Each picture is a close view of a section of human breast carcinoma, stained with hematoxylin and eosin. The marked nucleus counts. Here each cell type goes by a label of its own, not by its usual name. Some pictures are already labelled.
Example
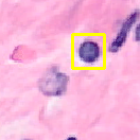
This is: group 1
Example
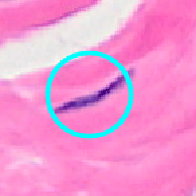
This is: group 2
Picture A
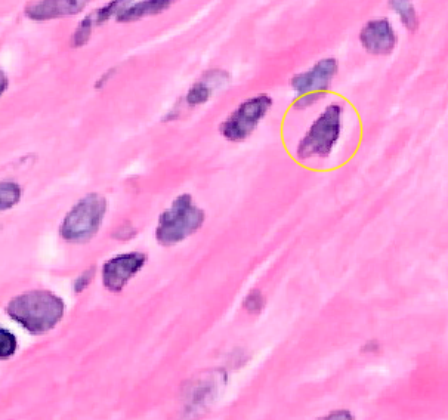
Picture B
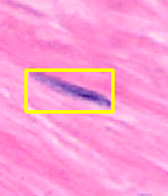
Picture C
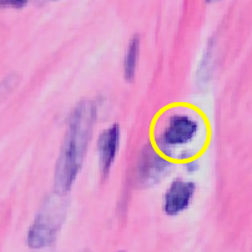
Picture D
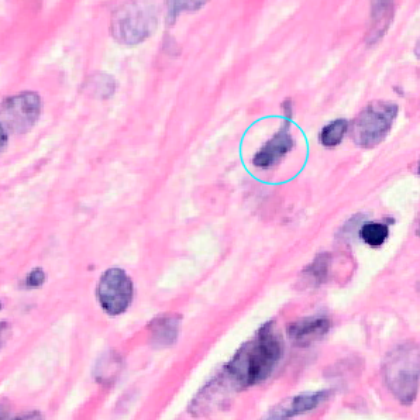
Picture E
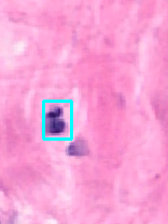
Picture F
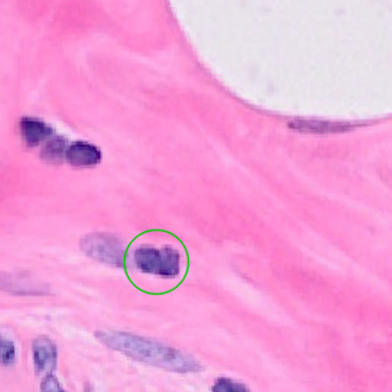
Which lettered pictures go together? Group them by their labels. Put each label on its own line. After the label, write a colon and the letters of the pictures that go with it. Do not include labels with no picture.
group 1: A, C, D, E, F
group 2: B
